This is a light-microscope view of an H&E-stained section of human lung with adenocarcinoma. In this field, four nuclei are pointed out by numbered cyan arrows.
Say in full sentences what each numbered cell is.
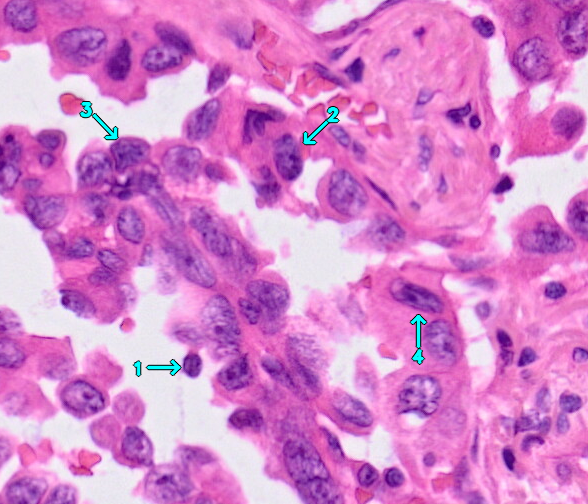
Cell 1 is a lymphocyte, cell 2 is a carcinoma cell, cell 3 is a carcinoma cell and cell 4 is a carcinoma cell.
